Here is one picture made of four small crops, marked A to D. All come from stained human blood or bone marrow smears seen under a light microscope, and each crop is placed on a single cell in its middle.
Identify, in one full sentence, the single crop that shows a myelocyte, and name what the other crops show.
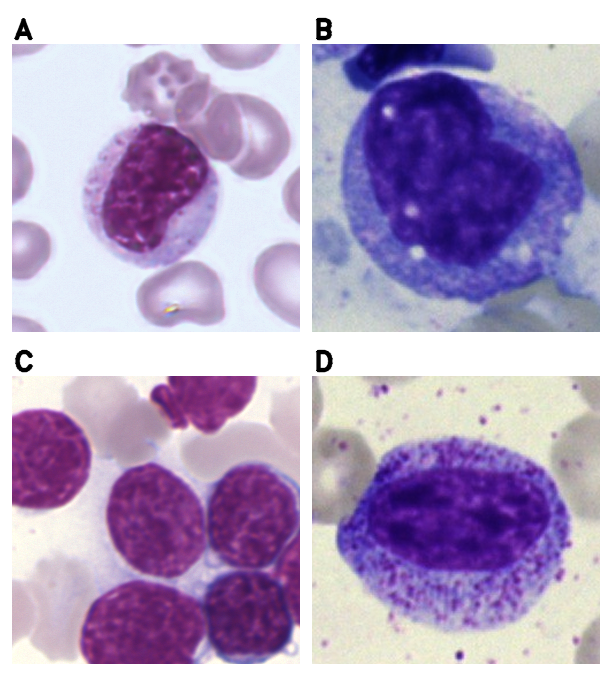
Crop D comes out as a myelocyte, while crop A is a metamyelocyte, crop B is a monocyte and crop C is a blast.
